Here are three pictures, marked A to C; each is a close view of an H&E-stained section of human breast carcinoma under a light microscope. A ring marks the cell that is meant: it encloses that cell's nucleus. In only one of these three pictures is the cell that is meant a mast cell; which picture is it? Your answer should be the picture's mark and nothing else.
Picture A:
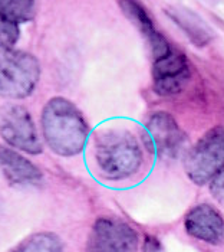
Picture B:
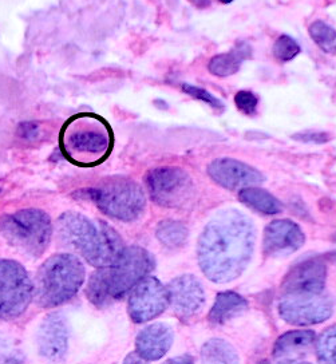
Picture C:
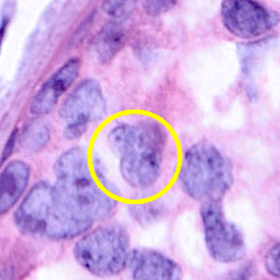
B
